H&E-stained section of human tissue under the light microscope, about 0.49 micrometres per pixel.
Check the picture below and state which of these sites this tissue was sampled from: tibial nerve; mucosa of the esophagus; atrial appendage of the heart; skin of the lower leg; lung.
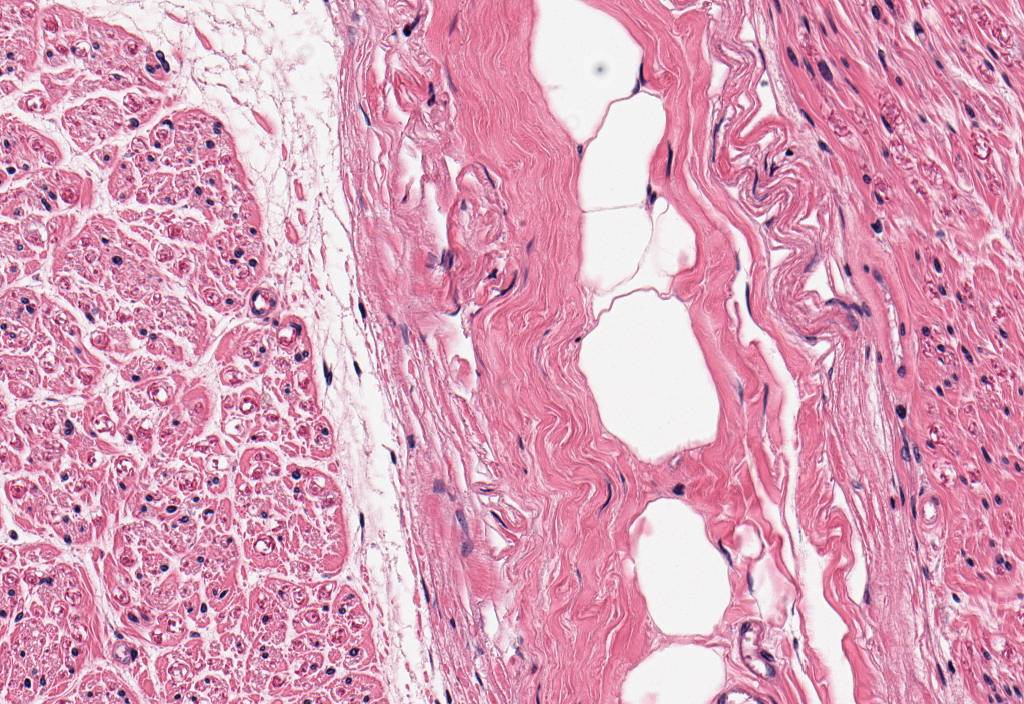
tibial nerve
